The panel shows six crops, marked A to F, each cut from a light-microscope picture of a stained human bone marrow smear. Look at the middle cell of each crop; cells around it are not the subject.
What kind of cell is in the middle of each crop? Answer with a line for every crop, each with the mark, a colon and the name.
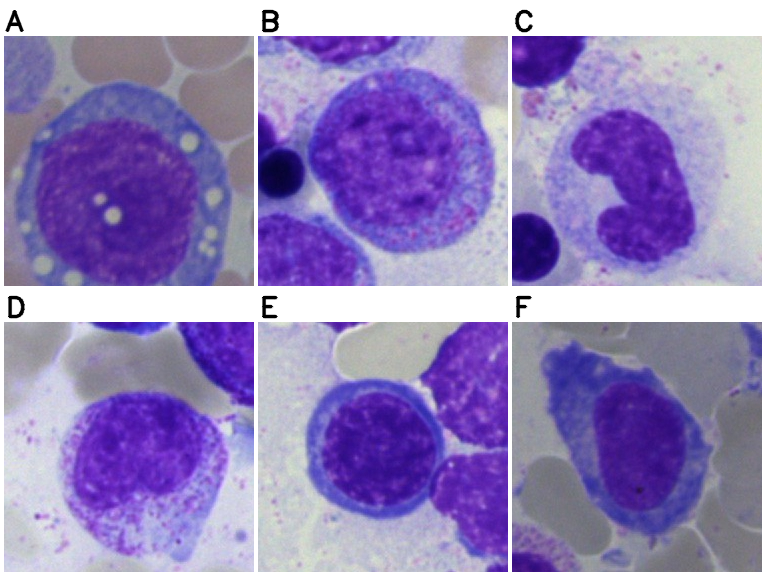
A: blast
B: promyelocyte
C: monocyte
D: myelocyte
E: erythroblast
F: plasma cell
